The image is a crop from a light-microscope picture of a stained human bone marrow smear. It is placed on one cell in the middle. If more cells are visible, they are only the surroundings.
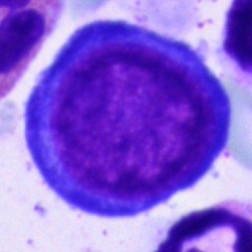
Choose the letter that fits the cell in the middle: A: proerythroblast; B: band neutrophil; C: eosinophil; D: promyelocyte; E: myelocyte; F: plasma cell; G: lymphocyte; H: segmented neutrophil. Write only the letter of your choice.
A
